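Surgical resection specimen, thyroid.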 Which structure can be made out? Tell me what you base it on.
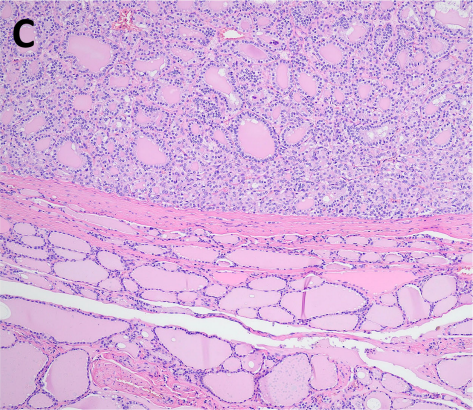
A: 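A band of pink fibrous tissue crosses the panel. Above the band, crowded follicles of varying size. Below the band, larger colloid-filled follicles of a different pattern.
Hence: well-demarcated mass.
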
